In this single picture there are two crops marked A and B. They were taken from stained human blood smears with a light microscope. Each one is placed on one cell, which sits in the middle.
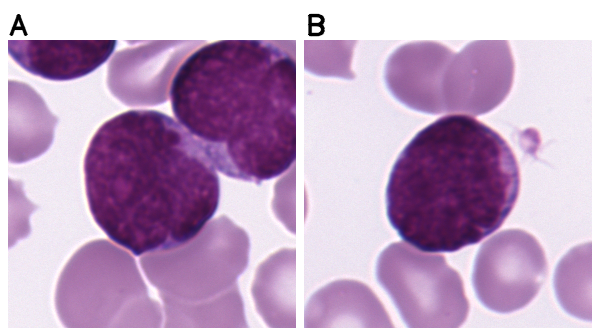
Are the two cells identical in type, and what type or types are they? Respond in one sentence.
Yes, shown in both crops are blasts.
